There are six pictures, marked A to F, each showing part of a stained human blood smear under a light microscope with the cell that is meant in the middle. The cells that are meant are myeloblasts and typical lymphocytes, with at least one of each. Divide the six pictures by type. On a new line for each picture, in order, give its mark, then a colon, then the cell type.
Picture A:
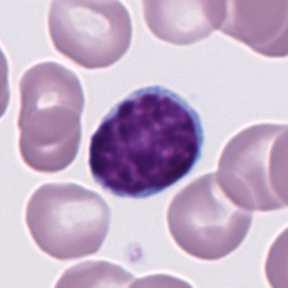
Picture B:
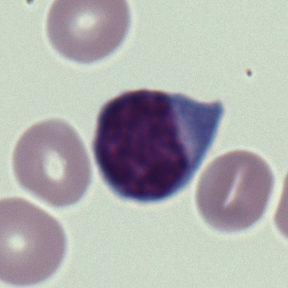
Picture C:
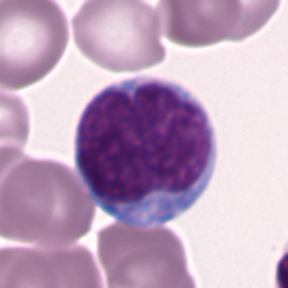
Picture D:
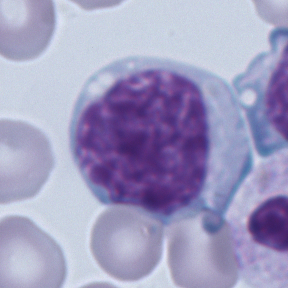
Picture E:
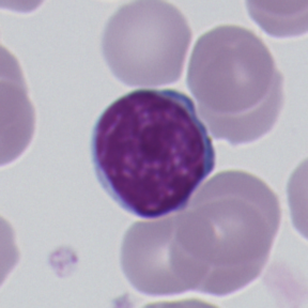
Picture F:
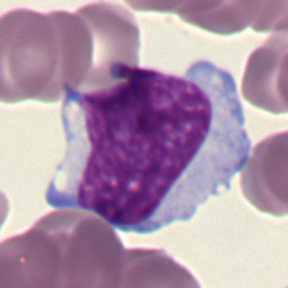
A: typical lymphocyte
B: typical lymphocyte
C: myeloblast
D: myeloblast
E: typical lymphocyte
F: myeloblast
